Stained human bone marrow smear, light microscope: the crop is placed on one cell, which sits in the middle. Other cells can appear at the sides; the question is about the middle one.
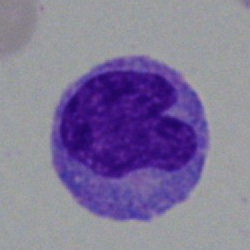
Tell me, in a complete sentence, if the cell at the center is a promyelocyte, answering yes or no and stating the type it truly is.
No, it isn't a promyelocyte; what sits in the middle is a monocyte.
